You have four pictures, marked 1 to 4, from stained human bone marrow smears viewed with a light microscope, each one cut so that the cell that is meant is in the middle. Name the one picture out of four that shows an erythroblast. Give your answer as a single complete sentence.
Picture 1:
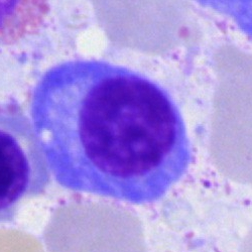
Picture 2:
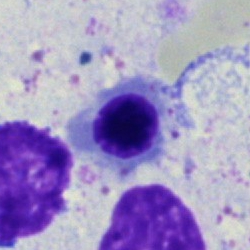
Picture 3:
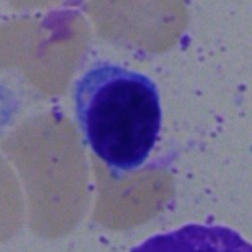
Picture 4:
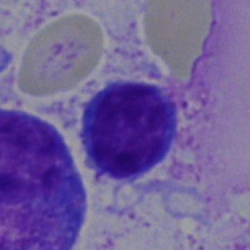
Picture 2 shows the erythroblast.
